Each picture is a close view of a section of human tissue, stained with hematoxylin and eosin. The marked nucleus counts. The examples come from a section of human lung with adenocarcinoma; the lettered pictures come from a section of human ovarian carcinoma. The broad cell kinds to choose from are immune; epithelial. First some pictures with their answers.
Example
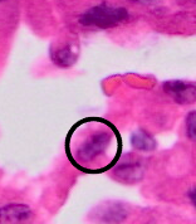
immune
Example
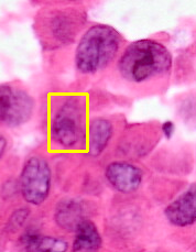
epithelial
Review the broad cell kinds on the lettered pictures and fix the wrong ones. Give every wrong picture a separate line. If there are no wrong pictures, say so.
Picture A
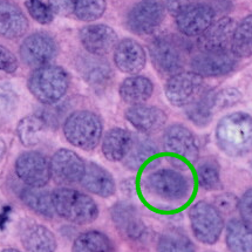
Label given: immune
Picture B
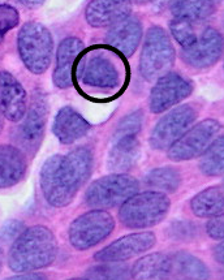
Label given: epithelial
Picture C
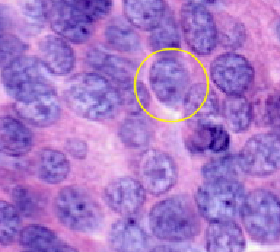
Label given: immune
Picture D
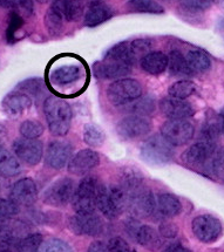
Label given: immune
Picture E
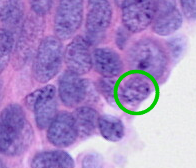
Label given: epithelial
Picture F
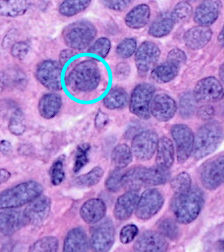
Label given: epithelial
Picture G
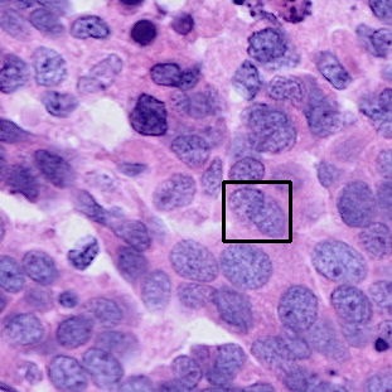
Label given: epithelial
A is labelled immune; correct label: epithelial
C is labelled immune; correct label: epithelial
